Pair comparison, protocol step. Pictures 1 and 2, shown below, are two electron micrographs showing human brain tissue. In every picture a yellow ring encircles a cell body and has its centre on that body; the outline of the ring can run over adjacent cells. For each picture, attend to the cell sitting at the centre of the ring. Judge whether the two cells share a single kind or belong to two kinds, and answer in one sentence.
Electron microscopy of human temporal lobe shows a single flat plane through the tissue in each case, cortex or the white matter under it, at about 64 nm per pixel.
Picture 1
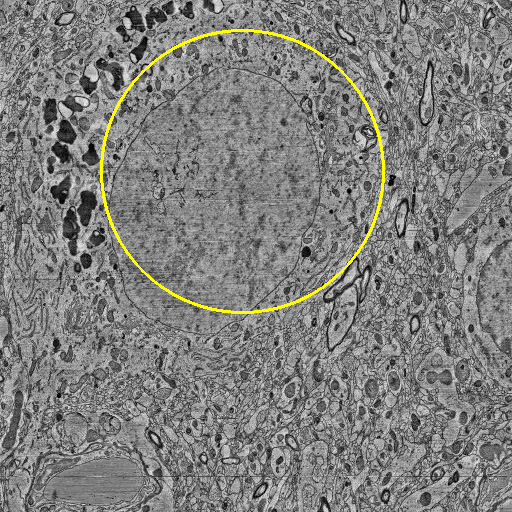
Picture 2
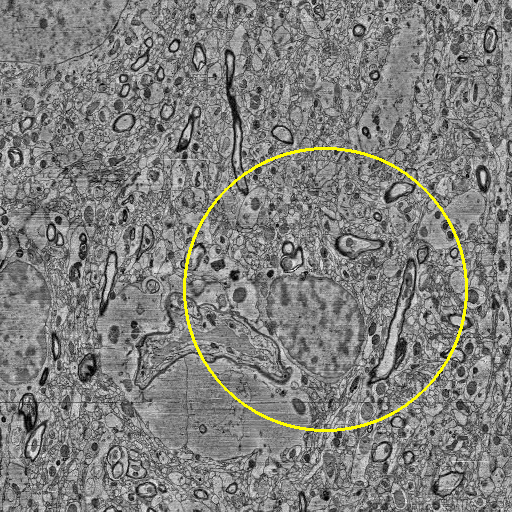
The two cells at the ring centres in Picture 1 and Picture 2 belong to two kinds.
